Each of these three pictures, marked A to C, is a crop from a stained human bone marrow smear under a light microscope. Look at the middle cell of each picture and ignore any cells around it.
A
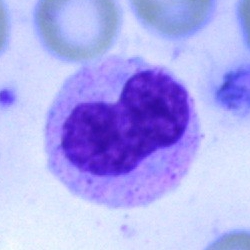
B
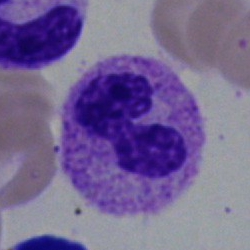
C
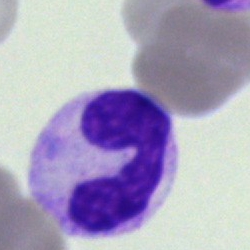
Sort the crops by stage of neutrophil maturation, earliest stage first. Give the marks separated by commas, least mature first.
A, C, B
